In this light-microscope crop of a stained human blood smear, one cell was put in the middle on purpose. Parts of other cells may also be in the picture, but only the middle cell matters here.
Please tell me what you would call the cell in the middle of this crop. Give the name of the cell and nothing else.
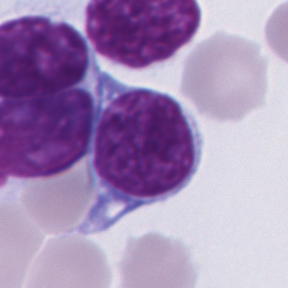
myeloblast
